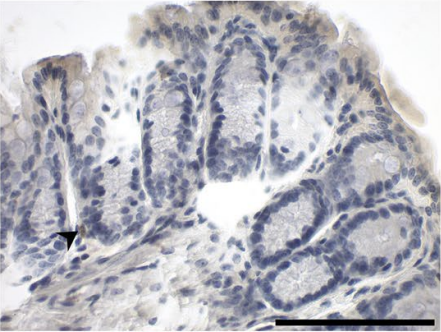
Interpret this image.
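Colonic mucosa with crypts cut both lengthwise and across, lined by columnar epithelium. Many goblet cells with pale, finely vacuolated mucus fill the crypt walls. The surface epithelium at the top carries a faint brownish tint. The lamina propria between the crypts is sparse, and a single cell near the base of a crypt is marked by an arrowhead.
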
